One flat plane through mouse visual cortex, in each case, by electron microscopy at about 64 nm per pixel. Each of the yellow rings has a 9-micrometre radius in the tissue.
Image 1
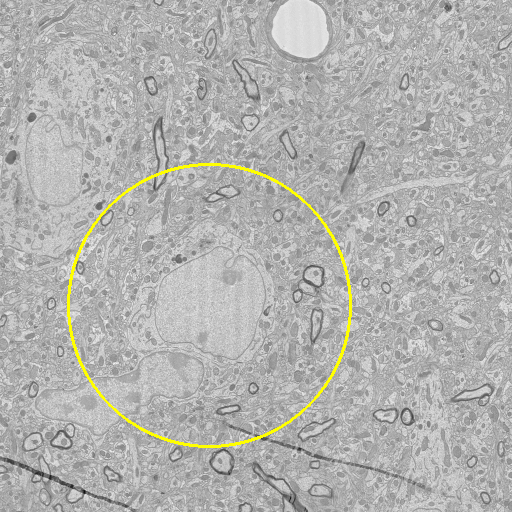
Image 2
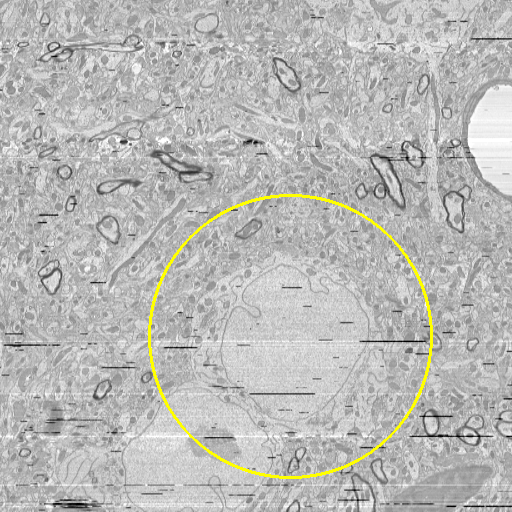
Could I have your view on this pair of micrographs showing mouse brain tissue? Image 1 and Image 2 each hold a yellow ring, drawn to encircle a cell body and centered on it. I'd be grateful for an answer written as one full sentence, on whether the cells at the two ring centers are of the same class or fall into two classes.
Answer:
The cells at the centers of the two rings are of the same class.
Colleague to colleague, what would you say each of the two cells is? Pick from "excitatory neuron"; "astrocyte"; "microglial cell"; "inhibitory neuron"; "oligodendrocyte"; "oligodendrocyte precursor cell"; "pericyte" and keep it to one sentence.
Each cell at the centre of a ring is an excitatory neuron.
